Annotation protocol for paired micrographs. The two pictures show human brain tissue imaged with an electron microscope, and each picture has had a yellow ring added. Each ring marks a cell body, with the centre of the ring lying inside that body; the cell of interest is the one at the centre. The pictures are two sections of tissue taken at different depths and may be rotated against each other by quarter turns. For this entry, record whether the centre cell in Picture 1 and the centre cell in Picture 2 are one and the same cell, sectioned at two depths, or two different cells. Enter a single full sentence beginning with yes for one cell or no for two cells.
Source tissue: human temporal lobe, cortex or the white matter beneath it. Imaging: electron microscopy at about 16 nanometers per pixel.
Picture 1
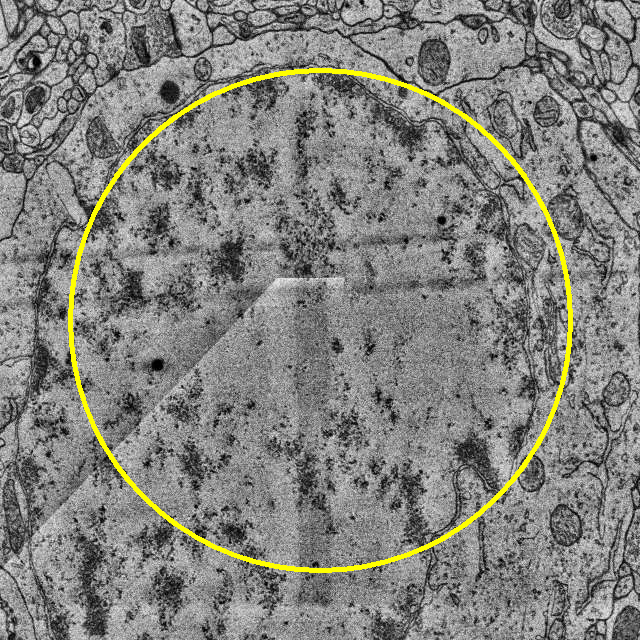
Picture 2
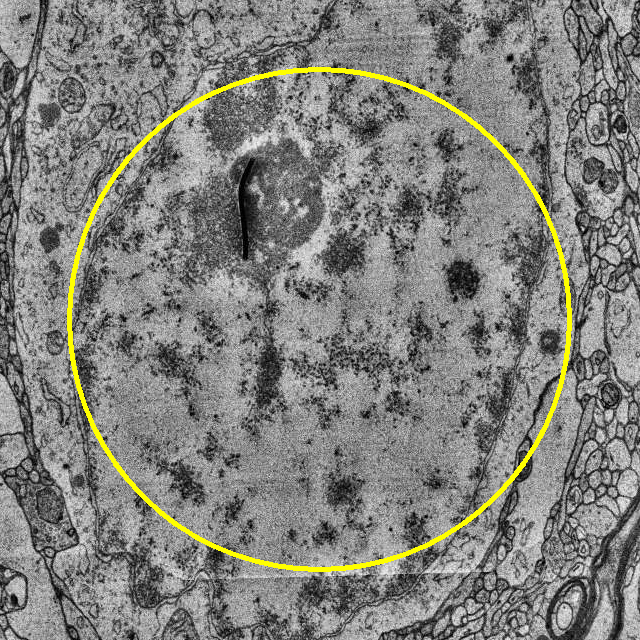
No, it is two different cells that the rings mark.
